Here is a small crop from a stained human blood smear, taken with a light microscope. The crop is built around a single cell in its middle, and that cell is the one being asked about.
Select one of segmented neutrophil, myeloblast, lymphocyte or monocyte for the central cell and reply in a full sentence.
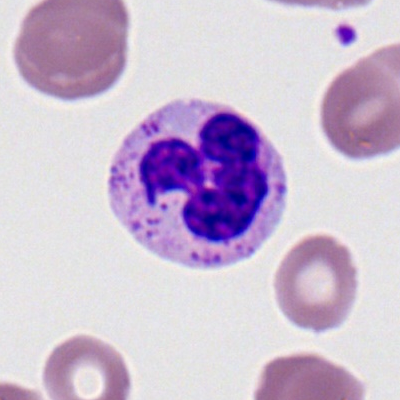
As for the cell in the middle, it is a segmented neutrophil.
